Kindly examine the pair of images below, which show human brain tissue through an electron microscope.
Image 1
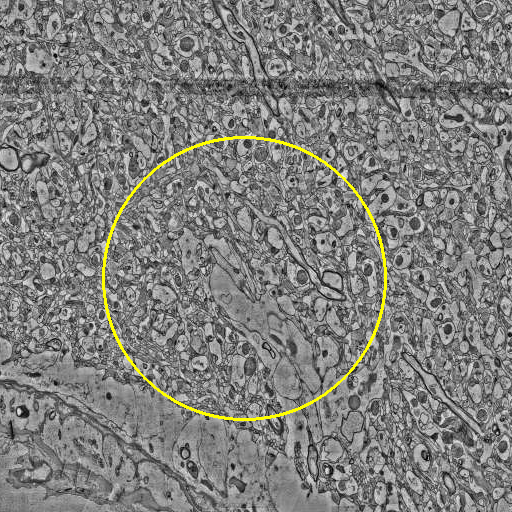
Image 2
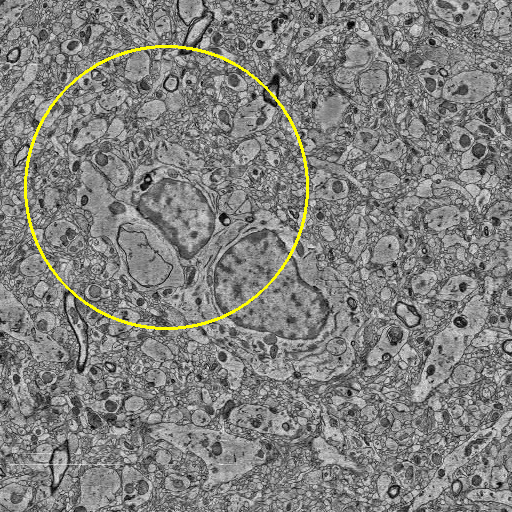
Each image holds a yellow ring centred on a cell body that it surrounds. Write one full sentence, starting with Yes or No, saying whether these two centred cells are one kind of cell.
No, the cells at the centres of the yellow rings belong to two kinds of cell.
